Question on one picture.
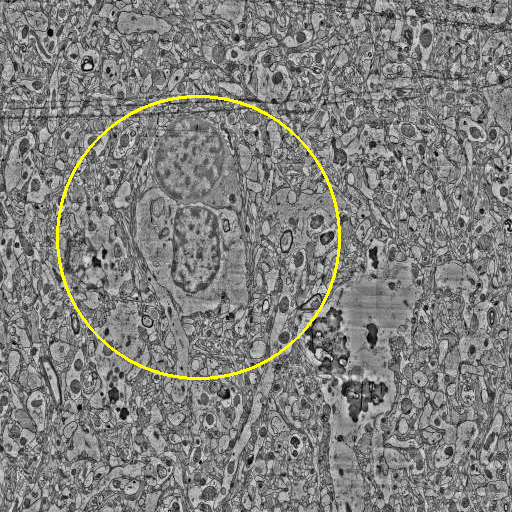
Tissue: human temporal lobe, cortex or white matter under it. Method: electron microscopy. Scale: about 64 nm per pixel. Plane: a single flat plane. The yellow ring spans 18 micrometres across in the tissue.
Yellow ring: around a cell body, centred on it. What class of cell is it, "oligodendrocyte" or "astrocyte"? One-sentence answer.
This is an astrocyte, the cell the ring is centred on.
